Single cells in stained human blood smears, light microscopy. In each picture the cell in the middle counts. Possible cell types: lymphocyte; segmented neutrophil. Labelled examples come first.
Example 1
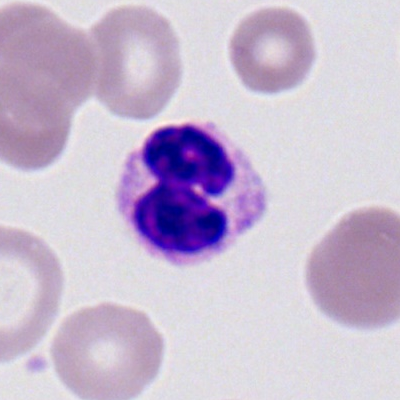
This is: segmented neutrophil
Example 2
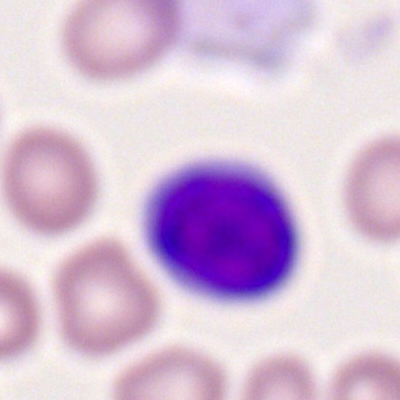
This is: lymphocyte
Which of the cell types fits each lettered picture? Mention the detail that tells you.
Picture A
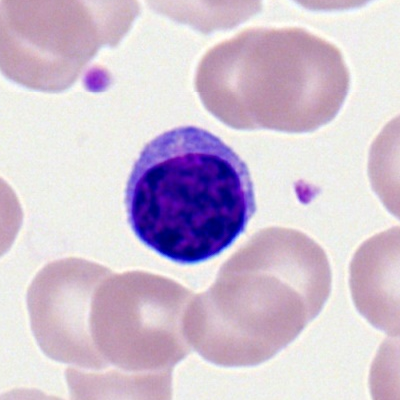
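lymphocyte. Evidence: The nucleus fills most of the cell.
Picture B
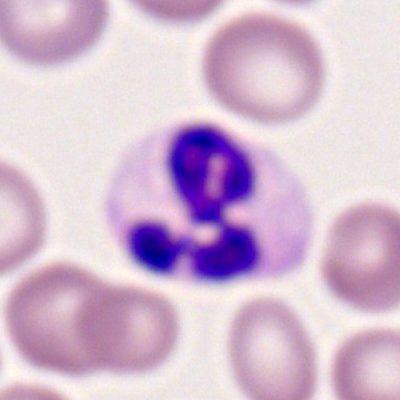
segmented neutrophil. Evidence: The cytoplasm is plentiful and pale pinkish-lilac.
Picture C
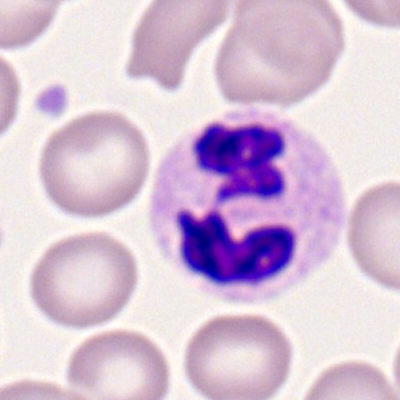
segmented neutrophil. Evidence: The cytoplasm is plentiful and pale pinkish-lilac.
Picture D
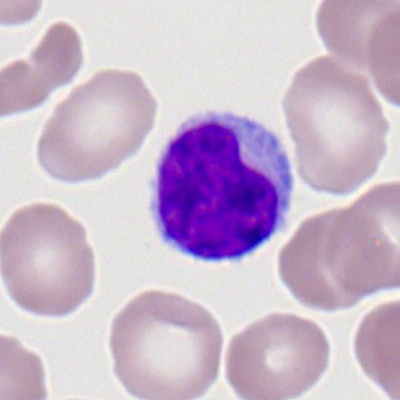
lymphocyte. Evidence: The cytoplasm is scant, forming a thin rim around the nucleus.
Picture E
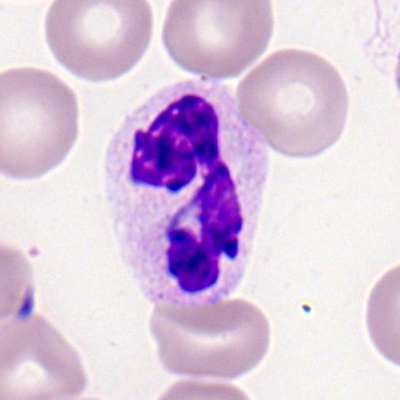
segmented neutrophil. Evidence: The cytoplasm is plentiful and pale pinkish-lilac.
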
